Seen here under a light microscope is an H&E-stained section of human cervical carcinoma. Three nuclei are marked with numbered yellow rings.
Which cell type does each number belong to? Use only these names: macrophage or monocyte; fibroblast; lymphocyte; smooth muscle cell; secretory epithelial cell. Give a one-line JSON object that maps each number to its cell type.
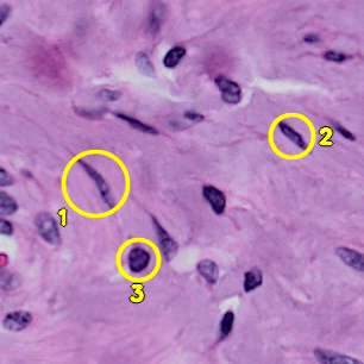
{"1": "fibroblast", "2": "fibroblast", "3": "lymphocyte"}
